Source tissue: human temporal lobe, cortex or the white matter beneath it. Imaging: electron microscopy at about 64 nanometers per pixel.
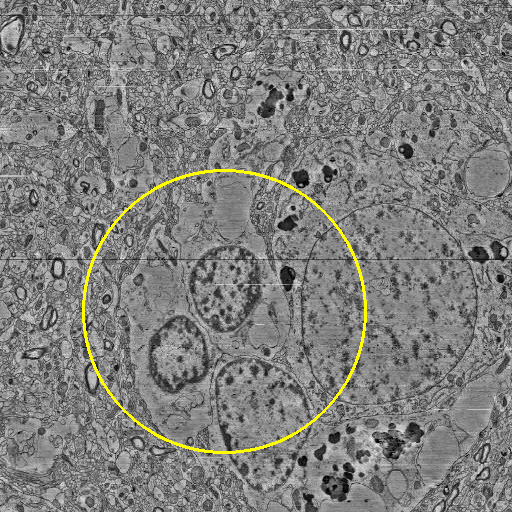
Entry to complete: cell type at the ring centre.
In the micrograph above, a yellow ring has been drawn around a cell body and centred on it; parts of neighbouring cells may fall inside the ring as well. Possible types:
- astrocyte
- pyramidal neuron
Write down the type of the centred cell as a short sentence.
The ring is centred on an astrocyte.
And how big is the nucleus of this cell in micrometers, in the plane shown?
In this plane, the nucleus of the cell at the centre of the ring measures about 6 by 4 micrometres.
